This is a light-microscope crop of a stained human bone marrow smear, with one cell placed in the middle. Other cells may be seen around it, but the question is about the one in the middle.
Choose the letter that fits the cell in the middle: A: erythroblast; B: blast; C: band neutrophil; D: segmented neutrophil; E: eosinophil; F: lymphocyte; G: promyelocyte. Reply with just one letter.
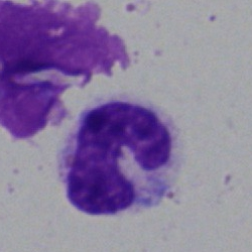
C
